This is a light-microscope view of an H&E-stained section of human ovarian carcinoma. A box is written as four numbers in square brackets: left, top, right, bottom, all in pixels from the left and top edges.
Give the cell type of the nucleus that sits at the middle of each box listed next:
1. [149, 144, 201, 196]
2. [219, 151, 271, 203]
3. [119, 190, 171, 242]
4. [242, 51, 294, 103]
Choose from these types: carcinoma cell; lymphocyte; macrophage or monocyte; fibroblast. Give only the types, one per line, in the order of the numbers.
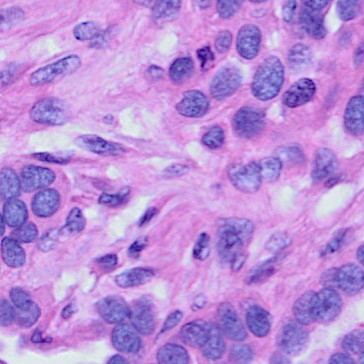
fibroblast
fibroblast
fibroblast
carcinoma cell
